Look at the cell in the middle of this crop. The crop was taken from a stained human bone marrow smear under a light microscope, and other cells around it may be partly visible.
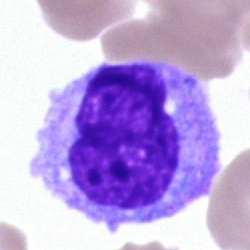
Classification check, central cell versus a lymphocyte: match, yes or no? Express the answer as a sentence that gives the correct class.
No, the cell located centrally is a monocyte rather than a lymphocyte.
